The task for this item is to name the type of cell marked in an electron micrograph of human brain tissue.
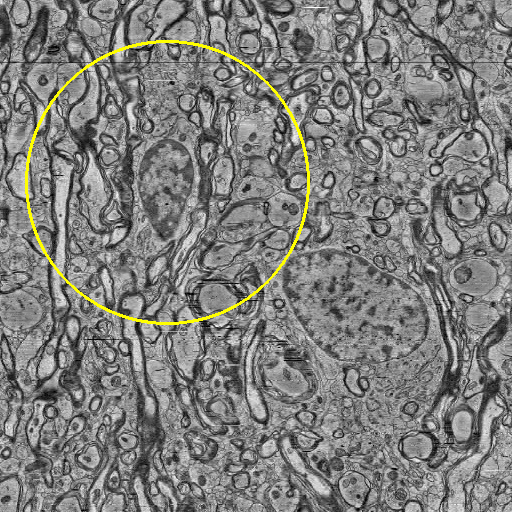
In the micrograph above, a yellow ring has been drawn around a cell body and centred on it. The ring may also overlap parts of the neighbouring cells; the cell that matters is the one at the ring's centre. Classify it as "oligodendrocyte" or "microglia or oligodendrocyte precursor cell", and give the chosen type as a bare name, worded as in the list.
microglia or oligodendrocyte precursor cell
